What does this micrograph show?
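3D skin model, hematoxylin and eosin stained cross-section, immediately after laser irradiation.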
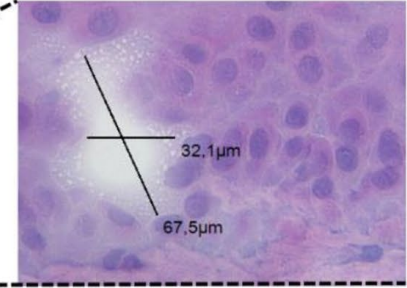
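Keratinocytes of the epidermis surround a clear, elongated, unstained vacuole. The cells have round to oval purple nuclei with pale lilac cytoplasm, and fine granular material lines the margin of the vacuole.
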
